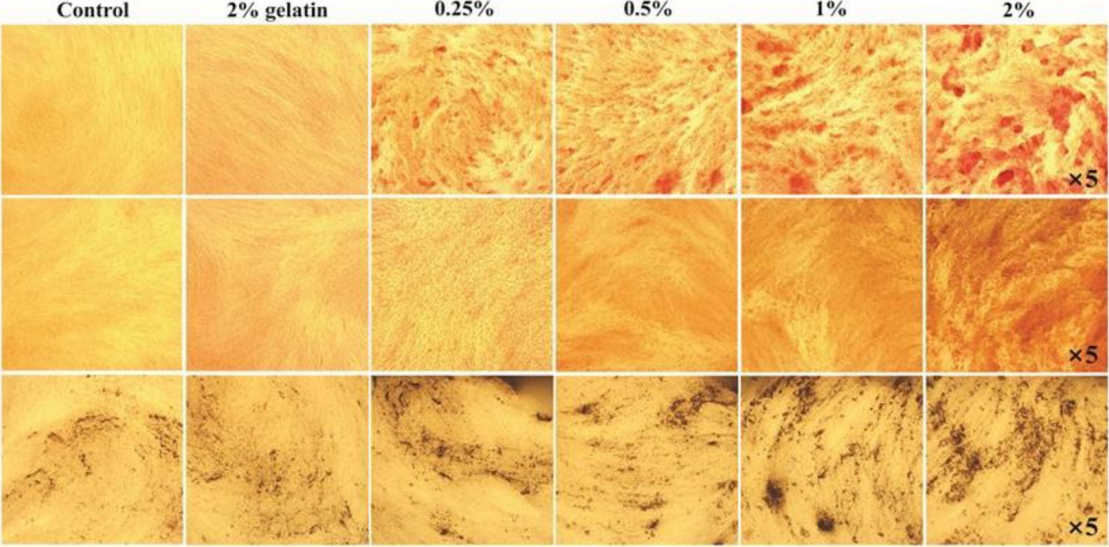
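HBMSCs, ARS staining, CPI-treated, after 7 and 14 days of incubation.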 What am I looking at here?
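These are dense cultured layers of spindle-shaped cells lying side by side in parallel, swirling streams across each frame. The cell layer stains yellow-orange throughout. In several frames of the top row it also carries irregular red to deep red clumps scattered over the cells. In the bottom row the cells lie in the same streaming arrangement, dotted with dark brown to black granular deposits that gather in bands along the cell streams and in a few rounded clusters.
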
